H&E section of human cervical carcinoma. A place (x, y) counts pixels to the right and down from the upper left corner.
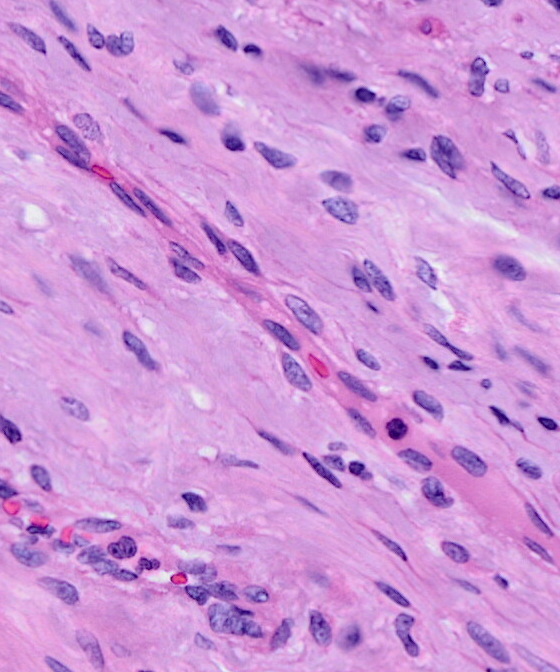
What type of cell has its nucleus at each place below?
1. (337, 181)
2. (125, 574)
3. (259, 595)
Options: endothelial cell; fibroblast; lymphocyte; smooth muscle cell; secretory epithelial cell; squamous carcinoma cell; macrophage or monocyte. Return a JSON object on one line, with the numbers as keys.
{"1": "fibroblast", "2": "endothelial cell", "3": "smooth muscle cell"}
